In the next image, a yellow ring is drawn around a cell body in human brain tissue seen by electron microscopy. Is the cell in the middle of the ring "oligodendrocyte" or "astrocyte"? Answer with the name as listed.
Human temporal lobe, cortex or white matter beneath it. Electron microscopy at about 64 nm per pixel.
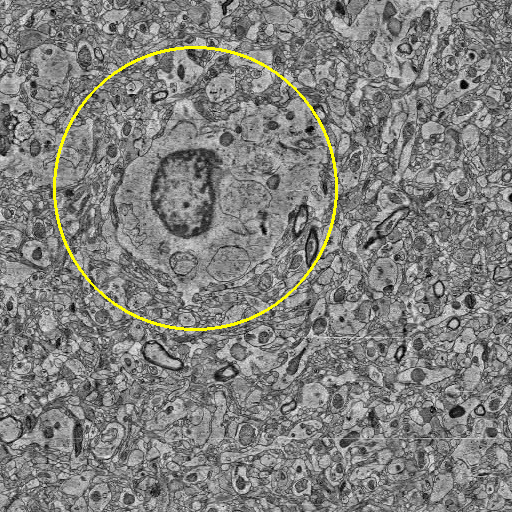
astrocyte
